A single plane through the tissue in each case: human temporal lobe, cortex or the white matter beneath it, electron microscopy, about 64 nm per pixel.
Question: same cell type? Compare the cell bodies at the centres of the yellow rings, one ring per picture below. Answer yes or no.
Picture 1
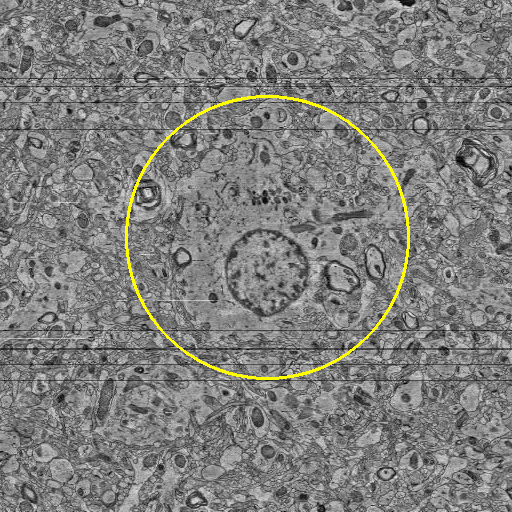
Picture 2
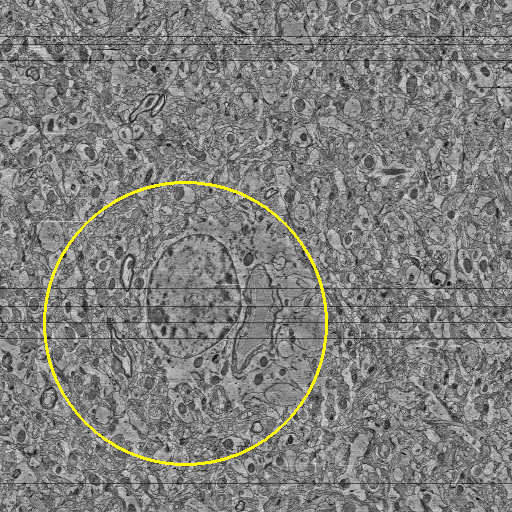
yes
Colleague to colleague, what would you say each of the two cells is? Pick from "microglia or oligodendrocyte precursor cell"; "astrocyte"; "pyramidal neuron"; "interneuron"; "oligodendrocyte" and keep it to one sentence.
The first and the second cell are each an astrocyte.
